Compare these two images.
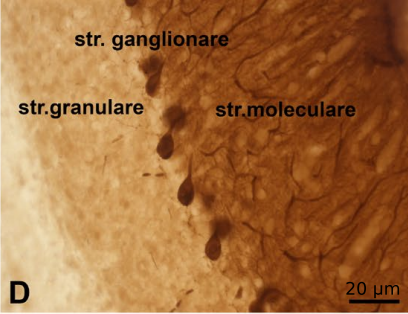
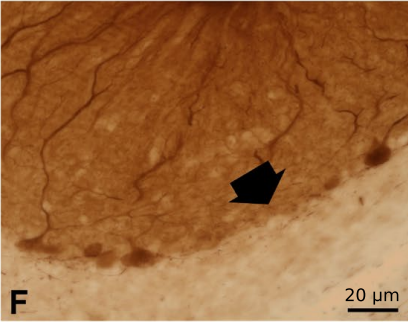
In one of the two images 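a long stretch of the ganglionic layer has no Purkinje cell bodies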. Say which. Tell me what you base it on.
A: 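The second image. First image: a continuous row of closely spaced brown cell bodies along the layer border.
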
